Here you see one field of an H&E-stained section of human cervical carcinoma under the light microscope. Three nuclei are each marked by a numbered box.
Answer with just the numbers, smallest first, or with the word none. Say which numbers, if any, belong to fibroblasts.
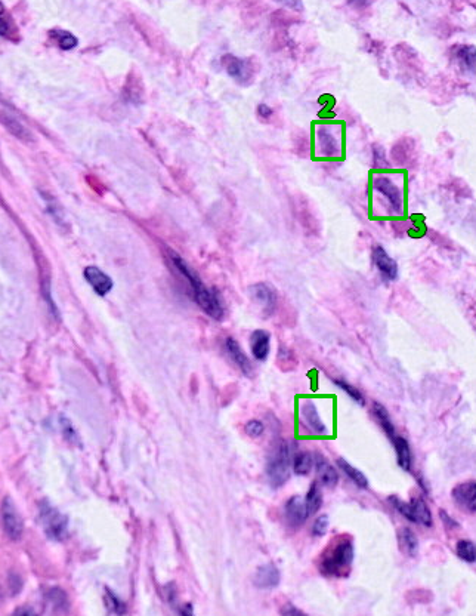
2, 3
